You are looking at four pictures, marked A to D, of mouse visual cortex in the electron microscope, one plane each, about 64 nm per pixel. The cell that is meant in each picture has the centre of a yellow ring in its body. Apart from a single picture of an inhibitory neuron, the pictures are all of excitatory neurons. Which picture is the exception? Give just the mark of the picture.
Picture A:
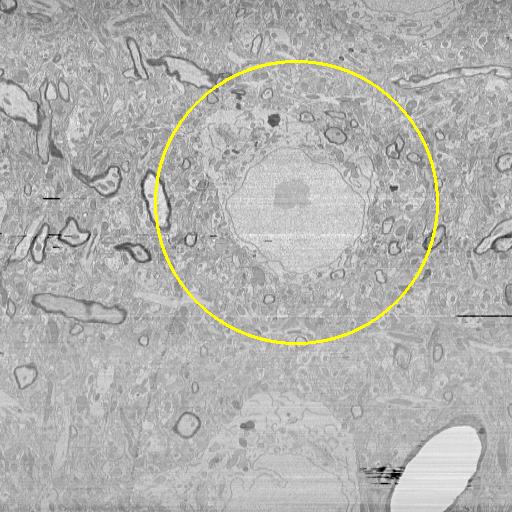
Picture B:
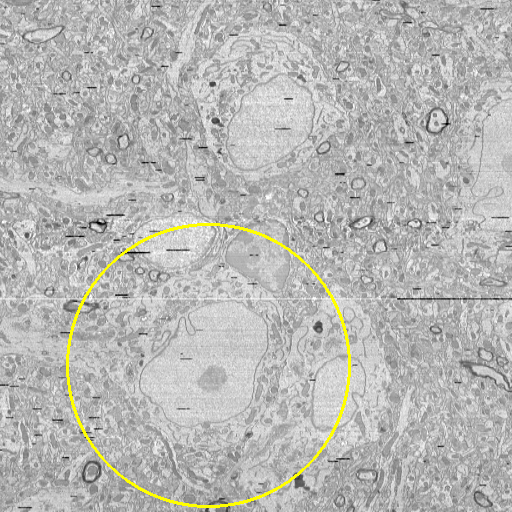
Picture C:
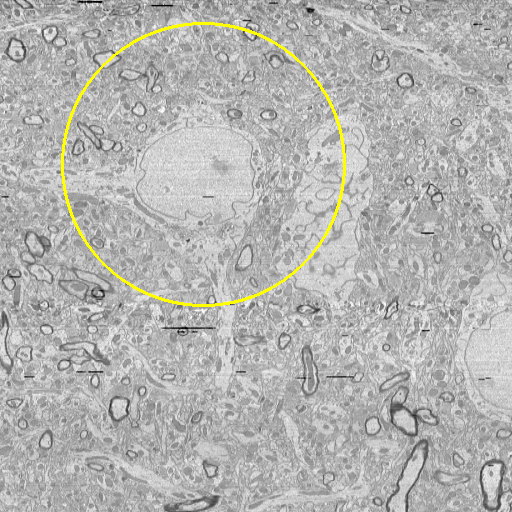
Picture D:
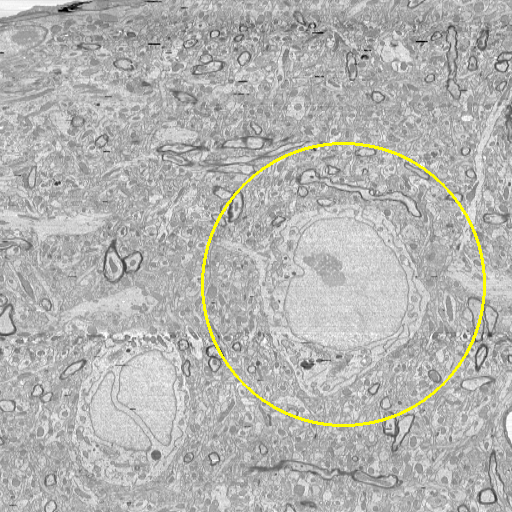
D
